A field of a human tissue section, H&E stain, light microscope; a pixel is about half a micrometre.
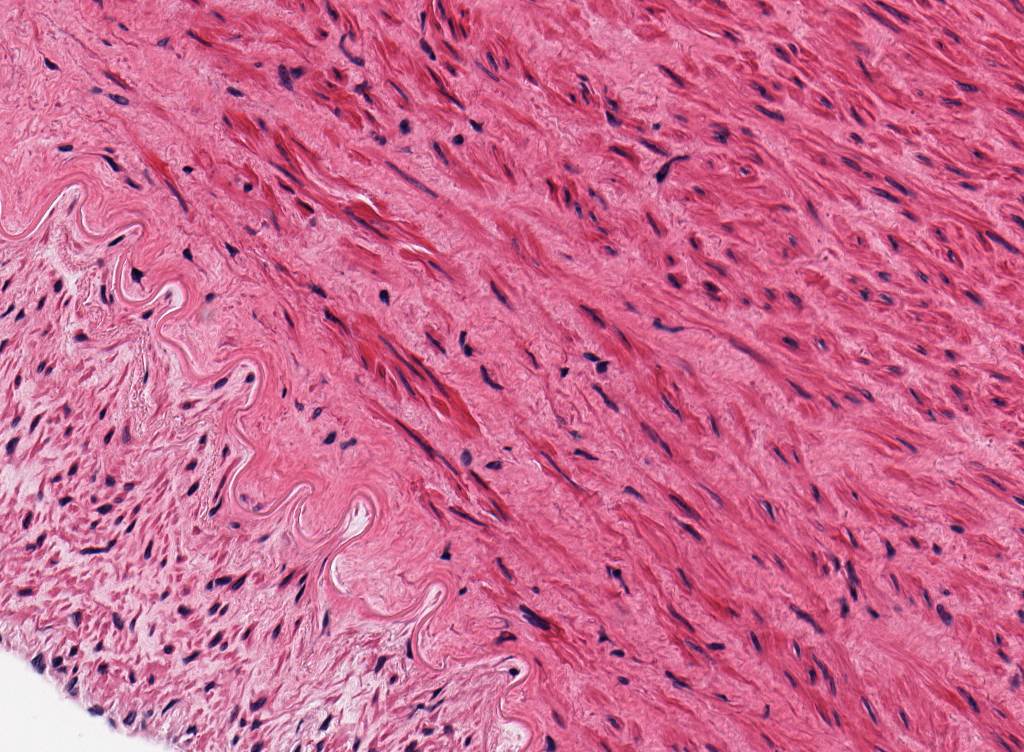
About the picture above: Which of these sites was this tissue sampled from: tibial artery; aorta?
tibial artery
